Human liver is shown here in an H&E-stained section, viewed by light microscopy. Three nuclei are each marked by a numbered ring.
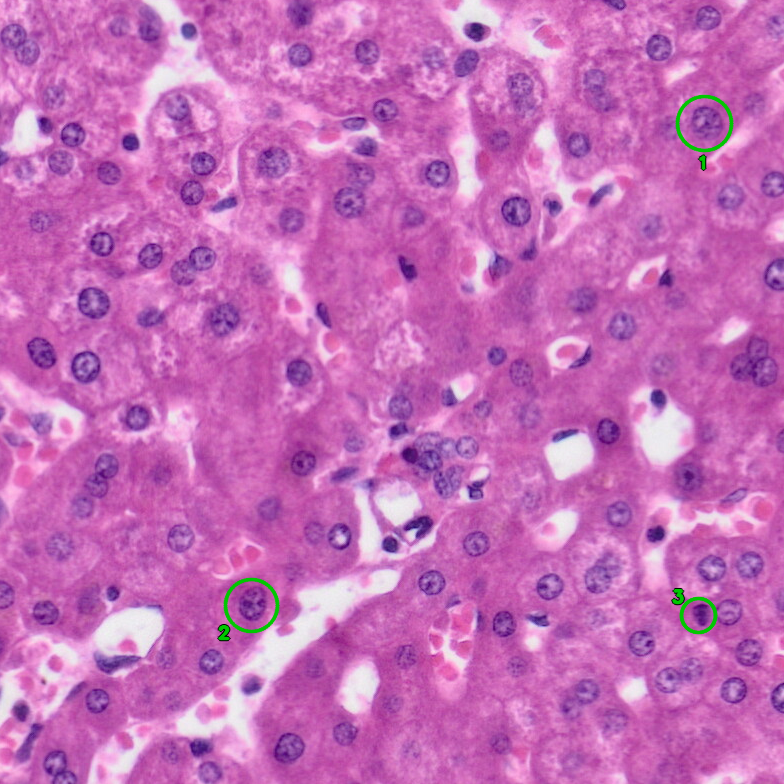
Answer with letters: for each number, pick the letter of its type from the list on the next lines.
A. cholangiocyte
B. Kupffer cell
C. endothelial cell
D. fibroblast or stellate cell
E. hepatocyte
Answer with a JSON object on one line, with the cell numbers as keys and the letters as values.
{"1": "E", "2": "E", "3": "D"}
